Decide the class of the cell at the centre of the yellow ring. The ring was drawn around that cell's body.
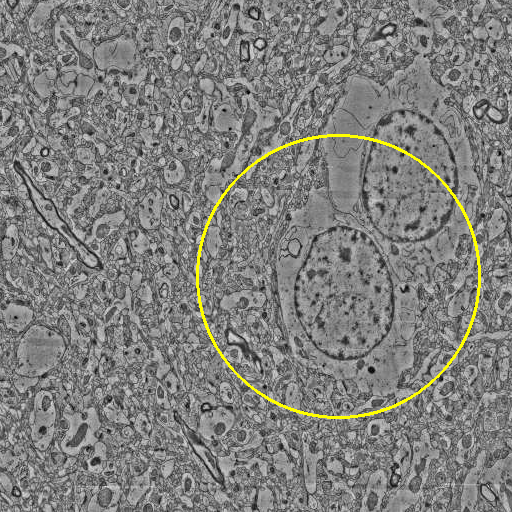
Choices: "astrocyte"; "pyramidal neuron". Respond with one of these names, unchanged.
astrocyte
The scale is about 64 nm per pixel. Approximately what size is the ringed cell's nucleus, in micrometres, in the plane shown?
In this plane, roughly 8 by 6 micrometres.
